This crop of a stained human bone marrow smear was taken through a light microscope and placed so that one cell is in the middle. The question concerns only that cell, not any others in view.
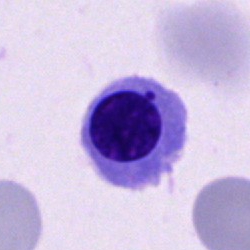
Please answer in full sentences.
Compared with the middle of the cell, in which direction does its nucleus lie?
It is shifted toward the upper left of the cell.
